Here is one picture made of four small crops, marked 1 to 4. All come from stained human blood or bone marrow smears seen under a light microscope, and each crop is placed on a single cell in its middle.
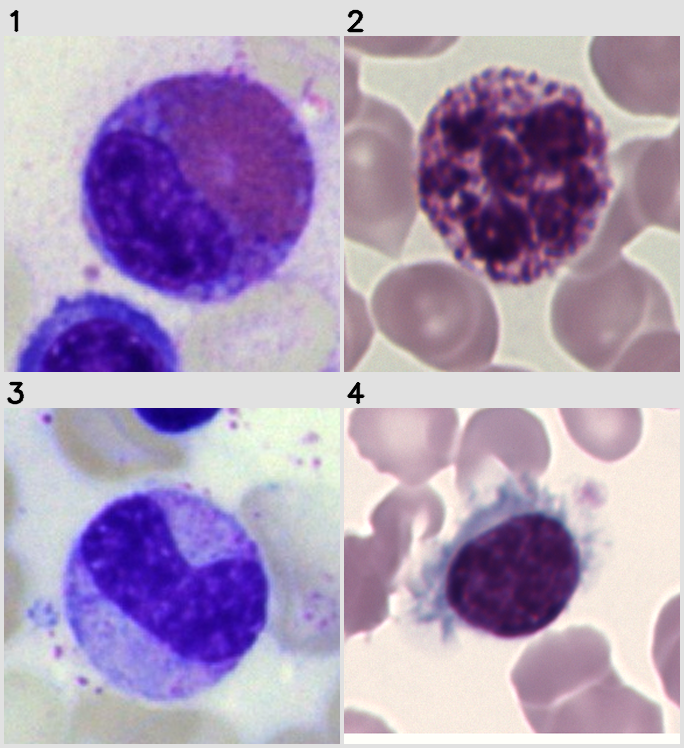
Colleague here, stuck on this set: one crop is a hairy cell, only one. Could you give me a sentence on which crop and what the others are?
Crop 4 should be logged as a hairy cell, while crop 1 is an eosinophil, crop 2 is a basophil and crop 3 is a band neutrophil.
